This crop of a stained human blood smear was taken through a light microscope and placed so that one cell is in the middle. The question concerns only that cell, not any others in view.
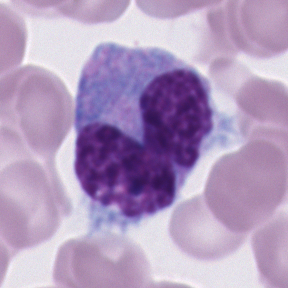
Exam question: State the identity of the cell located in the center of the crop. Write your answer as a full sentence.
In the central position of this crop, the cell is a monocyte.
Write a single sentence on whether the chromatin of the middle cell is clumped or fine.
The chromatin within its nucleus forms coarse clumps.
